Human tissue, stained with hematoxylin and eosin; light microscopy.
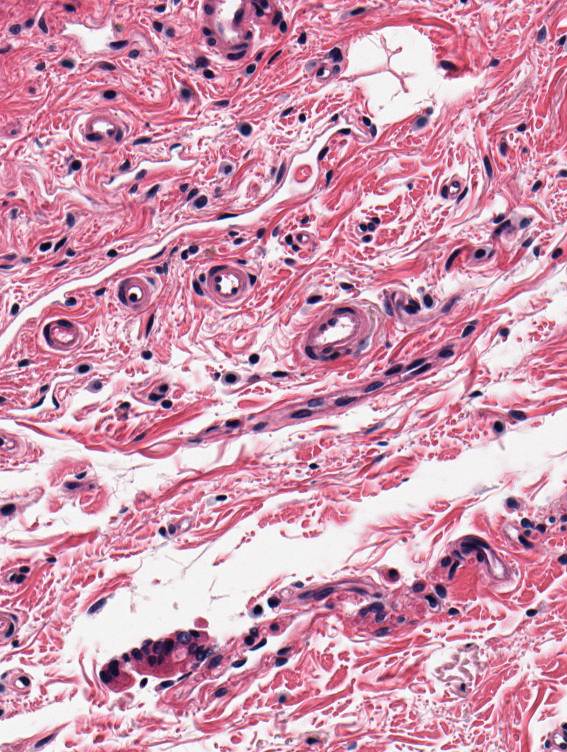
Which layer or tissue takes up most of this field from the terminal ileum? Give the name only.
dense connective tissue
